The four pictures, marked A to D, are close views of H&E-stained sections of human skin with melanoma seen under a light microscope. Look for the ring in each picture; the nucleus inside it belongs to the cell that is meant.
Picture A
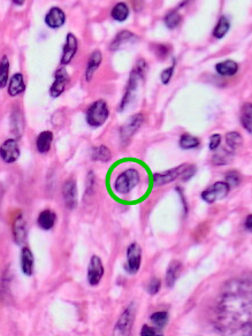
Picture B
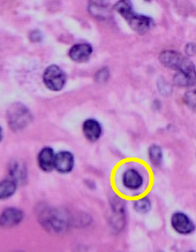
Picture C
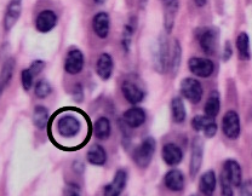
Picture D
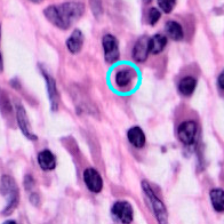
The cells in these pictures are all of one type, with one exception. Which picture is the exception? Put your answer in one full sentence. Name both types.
Picture D differs, because its cell is a plasma cell and the rest are lymphocytes.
